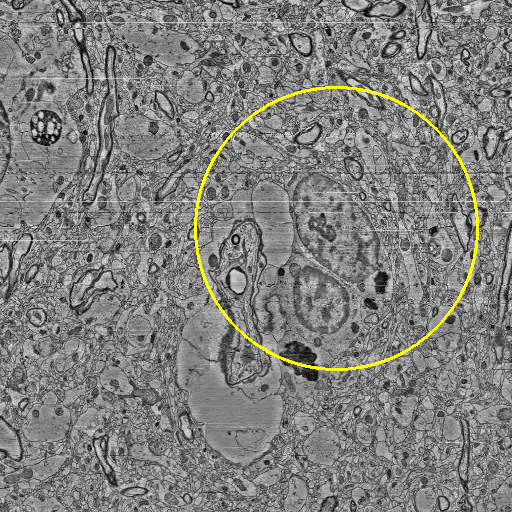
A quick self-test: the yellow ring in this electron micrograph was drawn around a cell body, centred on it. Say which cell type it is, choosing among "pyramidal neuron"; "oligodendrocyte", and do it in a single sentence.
The yellow-ringed cell is an oligodendrocyte.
